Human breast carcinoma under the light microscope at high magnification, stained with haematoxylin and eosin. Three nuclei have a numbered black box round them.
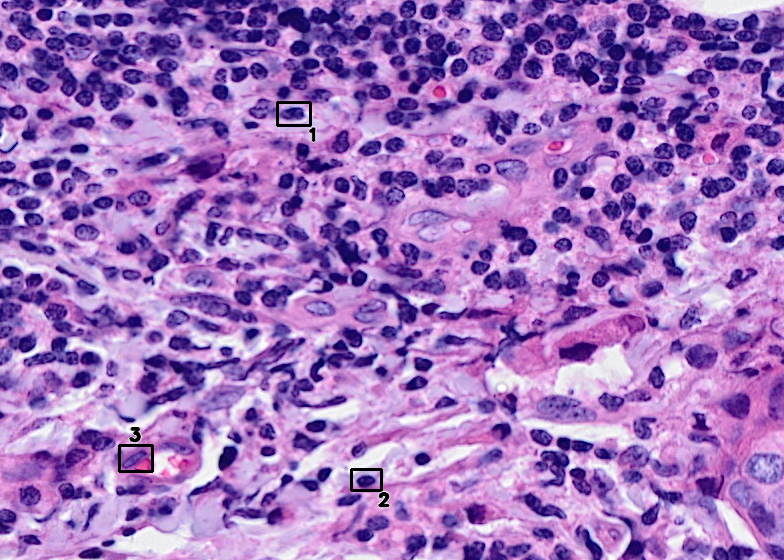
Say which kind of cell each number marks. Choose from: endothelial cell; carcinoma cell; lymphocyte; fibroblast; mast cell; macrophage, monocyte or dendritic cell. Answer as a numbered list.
1. lymphocyte
2. lymphocyte
3. endothelial cell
